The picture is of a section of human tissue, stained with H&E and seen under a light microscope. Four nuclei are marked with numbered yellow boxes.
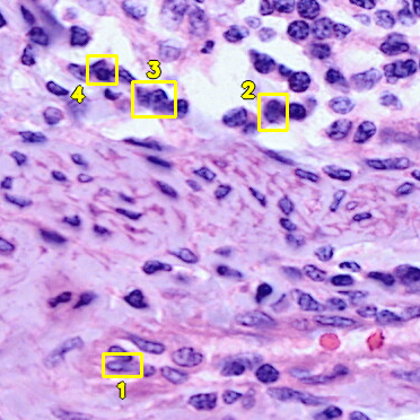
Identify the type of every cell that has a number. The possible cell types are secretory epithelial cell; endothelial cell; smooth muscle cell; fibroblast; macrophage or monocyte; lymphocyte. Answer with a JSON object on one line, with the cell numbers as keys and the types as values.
{"1": "endothelial cell", "2": "lymphocyte", "3": "lymphocyte", "4": "lymphocyte"}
